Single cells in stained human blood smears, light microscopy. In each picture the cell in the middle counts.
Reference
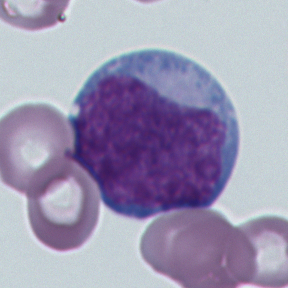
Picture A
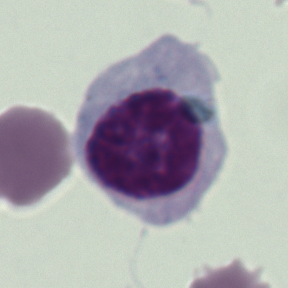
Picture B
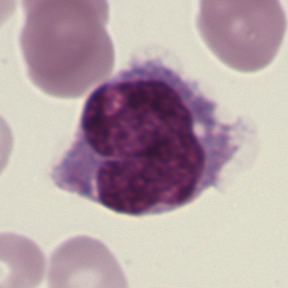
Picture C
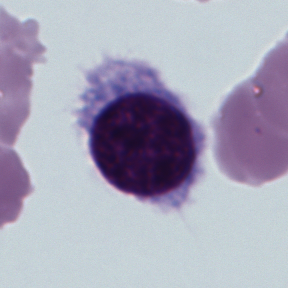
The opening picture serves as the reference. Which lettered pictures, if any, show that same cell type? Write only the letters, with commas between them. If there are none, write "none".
none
